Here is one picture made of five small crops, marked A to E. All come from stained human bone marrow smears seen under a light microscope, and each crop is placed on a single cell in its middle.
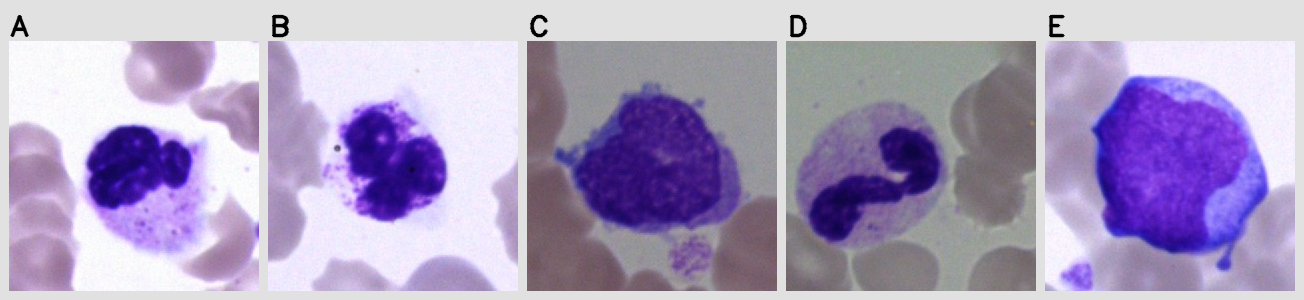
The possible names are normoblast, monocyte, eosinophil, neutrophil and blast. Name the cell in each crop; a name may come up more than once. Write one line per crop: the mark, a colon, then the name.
A: neutrophil
B: neutrophil
C: monocyte
D: neutrophil
E: blast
